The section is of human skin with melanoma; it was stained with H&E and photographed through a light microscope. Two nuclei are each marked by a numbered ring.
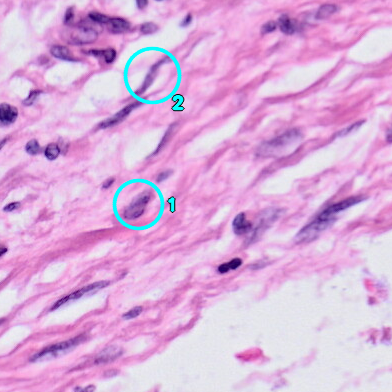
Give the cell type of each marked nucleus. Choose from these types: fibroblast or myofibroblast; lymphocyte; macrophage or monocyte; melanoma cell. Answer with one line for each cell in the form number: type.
1: macrophage or monocyte
2: fibroblast or myofibroblast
